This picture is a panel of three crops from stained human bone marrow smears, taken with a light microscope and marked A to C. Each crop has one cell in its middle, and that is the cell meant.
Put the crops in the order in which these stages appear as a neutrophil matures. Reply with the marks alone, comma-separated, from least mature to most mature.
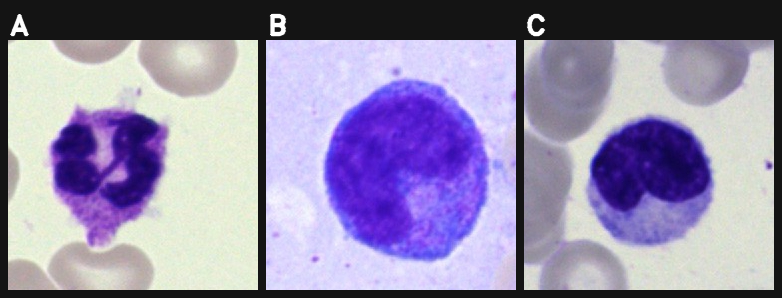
B, C, A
